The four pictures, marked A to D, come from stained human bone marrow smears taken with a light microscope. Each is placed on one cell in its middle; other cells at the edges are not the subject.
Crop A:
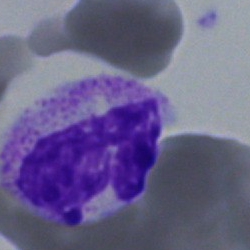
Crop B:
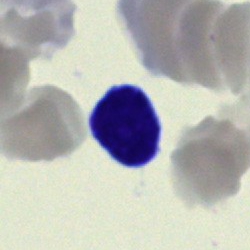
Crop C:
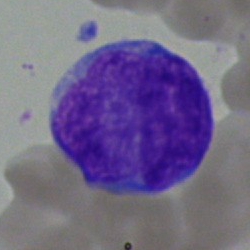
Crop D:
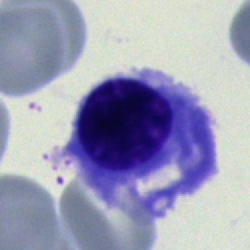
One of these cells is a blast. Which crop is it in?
C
